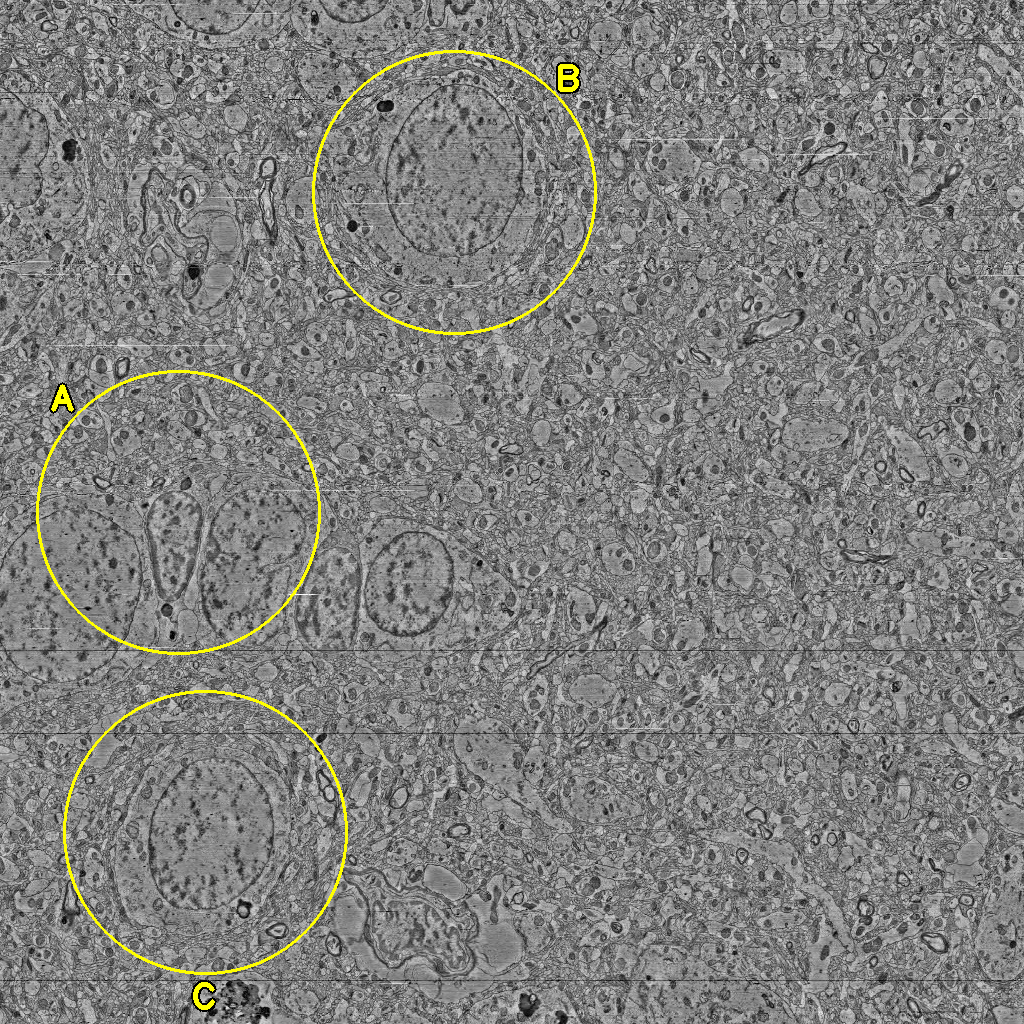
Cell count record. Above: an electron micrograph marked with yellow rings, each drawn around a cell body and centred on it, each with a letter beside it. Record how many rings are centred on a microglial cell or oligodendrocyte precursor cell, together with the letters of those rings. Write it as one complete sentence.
The ring lettered A is the single one among them centred on a microglial cell or oligodendrocyte precursor cell.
